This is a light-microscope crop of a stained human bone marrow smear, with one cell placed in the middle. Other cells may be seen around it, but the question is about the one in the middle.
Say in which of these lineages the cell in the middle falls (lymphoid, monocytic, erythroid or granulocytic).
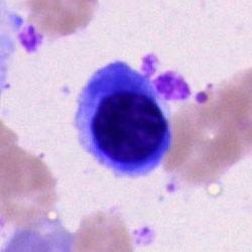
erythroid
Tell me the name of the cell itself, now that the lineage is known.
erythroblast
